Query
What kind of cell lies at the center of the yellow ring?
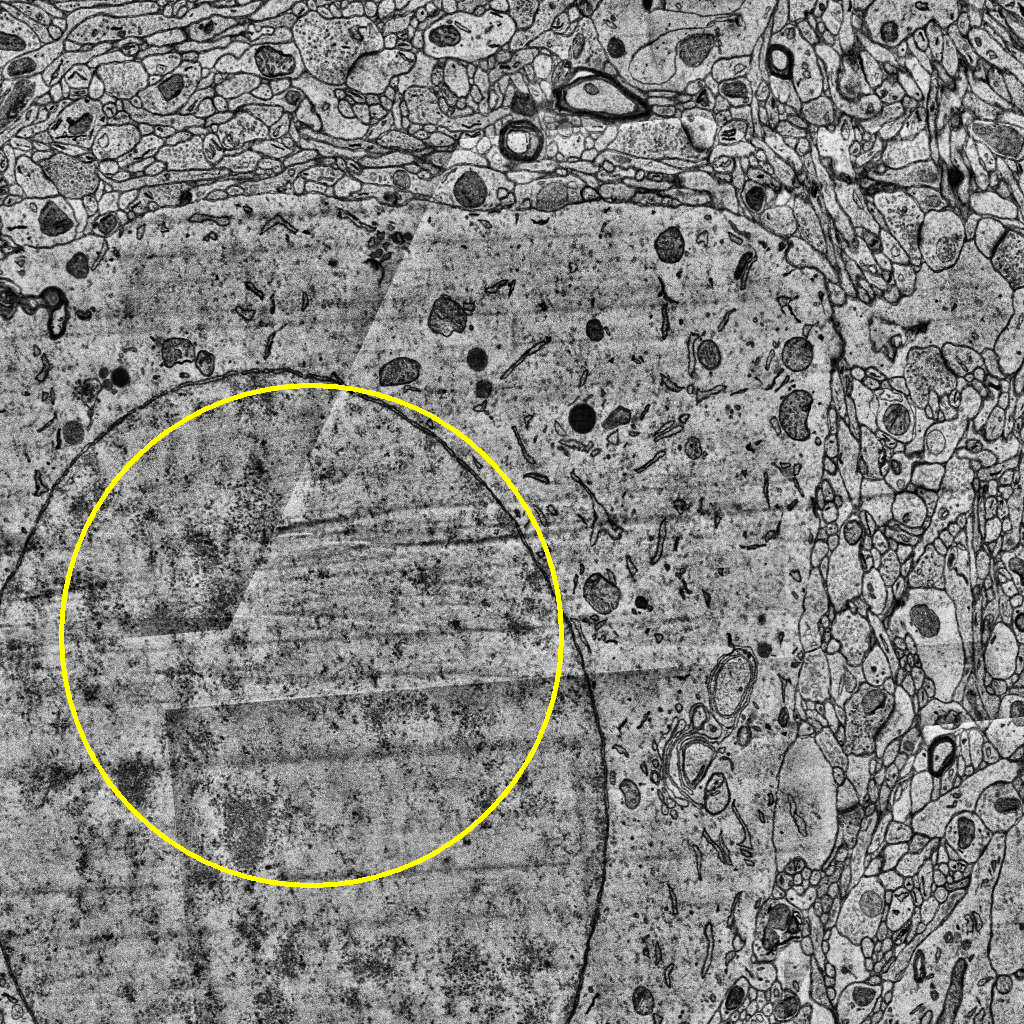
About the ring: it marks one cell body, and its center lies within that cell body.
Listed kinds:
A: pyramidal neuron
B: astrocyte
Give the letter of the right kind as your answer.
A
